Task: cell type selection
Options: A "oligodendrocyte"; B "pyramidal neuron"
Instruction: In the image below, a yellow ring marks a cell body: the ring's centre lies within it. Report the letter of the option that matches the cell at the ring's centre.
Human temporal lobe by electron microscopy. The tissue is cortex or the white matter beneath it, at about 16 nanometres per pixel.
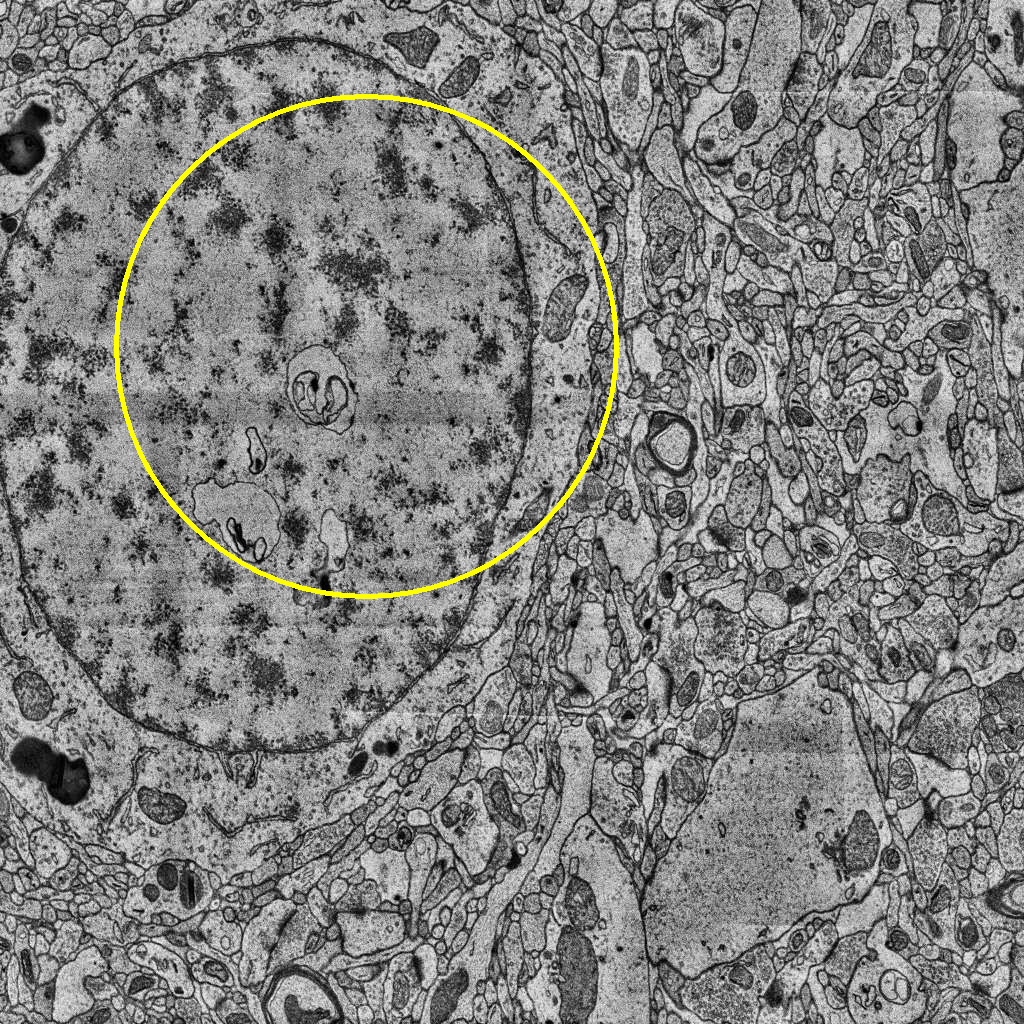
B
